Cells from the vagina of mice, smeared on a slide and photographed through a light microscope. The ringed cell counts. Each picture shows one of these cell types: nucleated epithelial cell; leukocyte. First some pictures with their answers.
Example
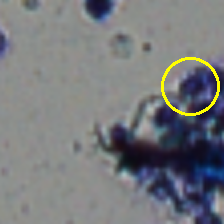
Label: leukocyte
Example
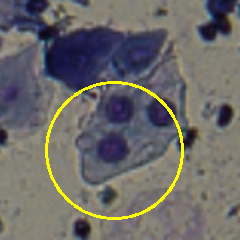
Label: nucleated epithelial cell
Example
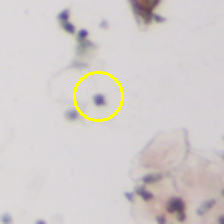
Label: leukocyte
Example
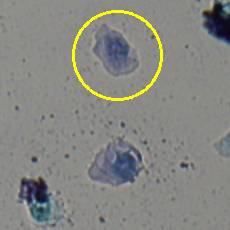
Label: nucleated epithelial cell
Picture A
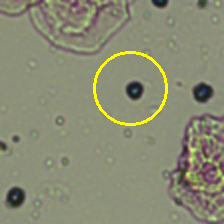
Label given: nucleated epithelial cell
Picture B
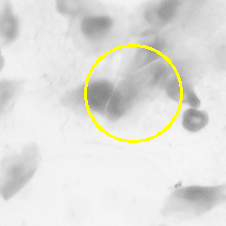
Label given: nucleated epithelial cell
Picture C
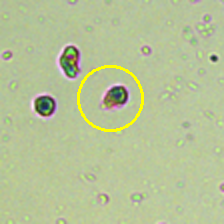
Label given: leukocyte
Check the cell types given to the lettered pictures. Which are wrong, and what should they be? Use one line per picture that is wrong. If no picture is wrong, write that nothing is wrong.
A: leukocyte, not nucleated epithelial cell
